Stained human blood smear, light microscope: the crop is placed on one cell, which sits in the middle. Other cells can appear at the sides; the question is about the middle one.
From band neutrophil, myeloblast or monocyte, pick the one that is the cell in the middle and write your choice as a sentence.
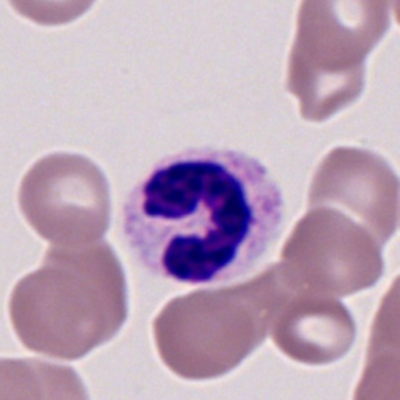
The cell at the centre of the field is a band neutrophil.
